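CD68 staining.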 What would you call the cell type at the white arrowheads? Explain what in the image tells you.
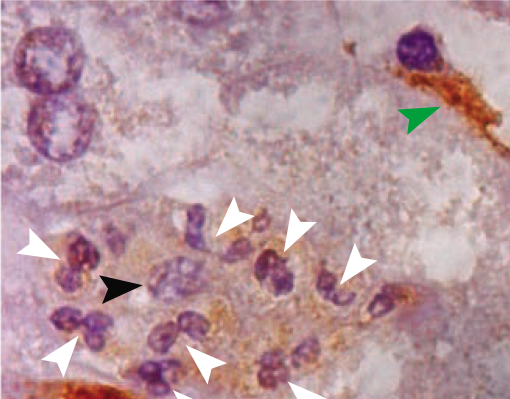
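Neutrophils. Small cells clustered together. Nuclei are dark purple and lobed or segmented.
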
